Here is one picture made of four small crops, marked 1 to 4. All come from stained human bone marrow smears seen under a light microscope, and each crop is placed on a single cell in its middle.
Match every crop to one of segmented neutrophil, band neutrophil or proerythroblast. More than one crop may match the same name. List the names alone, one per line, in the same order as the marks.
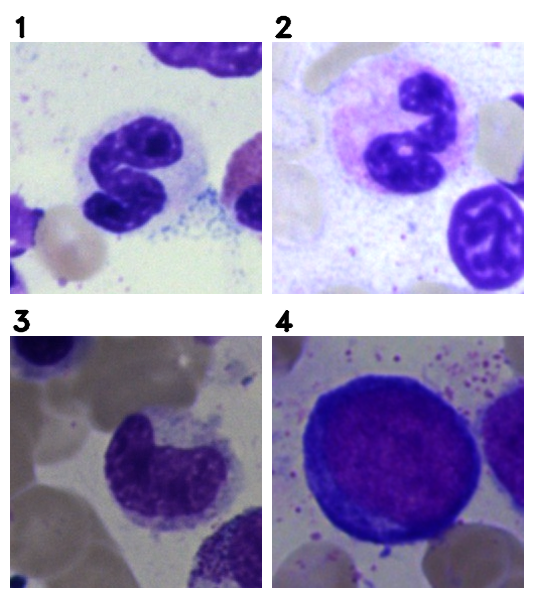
segmented neutrophil
segmented neutrophil
band neutrophil
proerythroblast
